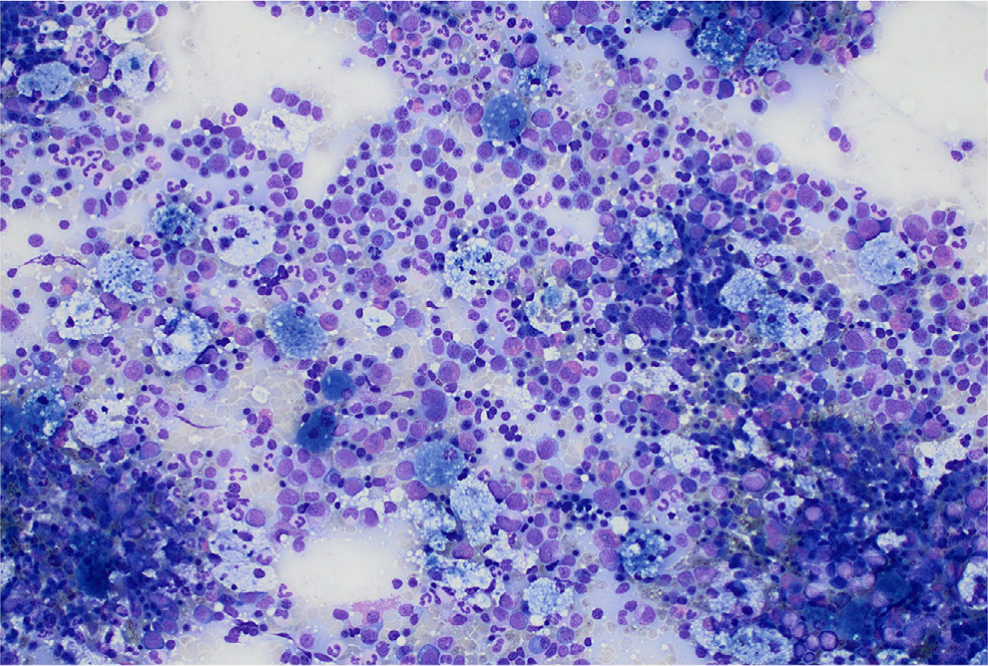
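This is a cellular bone marrow smear in which numerous large foamy macrophages lie among densely packed blood-forming cells, together with a few deep blue histiocytes. Most of the field is crowded with small round cells with purple nuclei, and pink-cytoplasmed cells and segmented neutrophils are scattered among them. Many much larger cells stand out. These have abundant pale blue cytoplasm that is bubbly with small clear vacuoles, and a small nucleus. A few other large cells have dense, deep blue cytoplasm. Thick clumped areas at the lower corners stain darker, and clear spaces free of cells lie between the groups.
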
